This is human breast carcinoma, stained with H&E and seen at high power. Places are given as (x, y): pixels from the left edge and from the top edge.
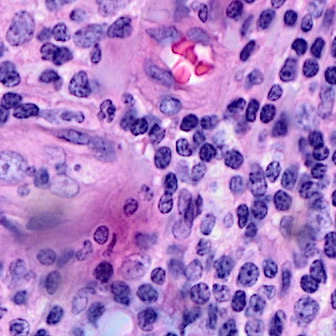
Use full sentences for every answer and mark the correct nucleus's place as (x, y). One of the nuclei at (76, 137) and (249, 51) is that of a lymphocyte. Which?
Of the two, the nucleus lying at (249, 51) is the one belonging to a lymphocyte.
